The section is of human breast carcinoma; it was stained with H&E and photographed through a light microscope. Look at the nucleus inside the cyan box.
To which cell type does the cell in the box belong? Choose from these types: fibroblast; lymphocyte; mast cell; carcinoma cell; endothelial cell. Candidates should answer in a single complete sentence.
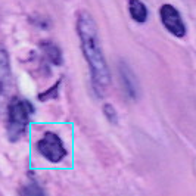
Typologically, the cell in the box is a lymphocyte in this section.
